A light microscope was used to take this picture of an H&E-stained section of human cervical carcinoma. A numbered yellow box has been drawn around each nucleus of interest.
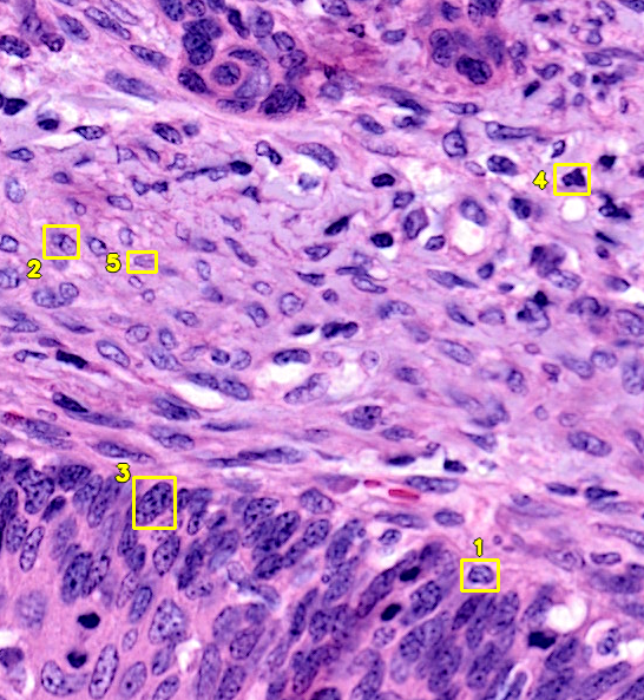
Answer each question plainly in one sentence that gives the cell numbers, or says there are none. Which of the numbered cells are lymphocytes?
The cells that bear the numbers 1 and 4 are lymphocytes.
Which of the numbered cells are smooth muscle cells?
The cells referred to by the numbers 2 and 5 are smooth muscle cells.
